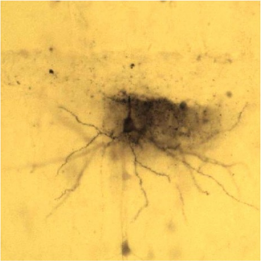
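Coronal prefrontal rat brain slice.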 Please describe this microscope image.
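A single neuron stained dark brown to black lies on a pale yellow background, its dark soma surrounded by a diffuse dark cloud of stain. A faint horizontal line crosses the upper part of the field above the cell.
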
